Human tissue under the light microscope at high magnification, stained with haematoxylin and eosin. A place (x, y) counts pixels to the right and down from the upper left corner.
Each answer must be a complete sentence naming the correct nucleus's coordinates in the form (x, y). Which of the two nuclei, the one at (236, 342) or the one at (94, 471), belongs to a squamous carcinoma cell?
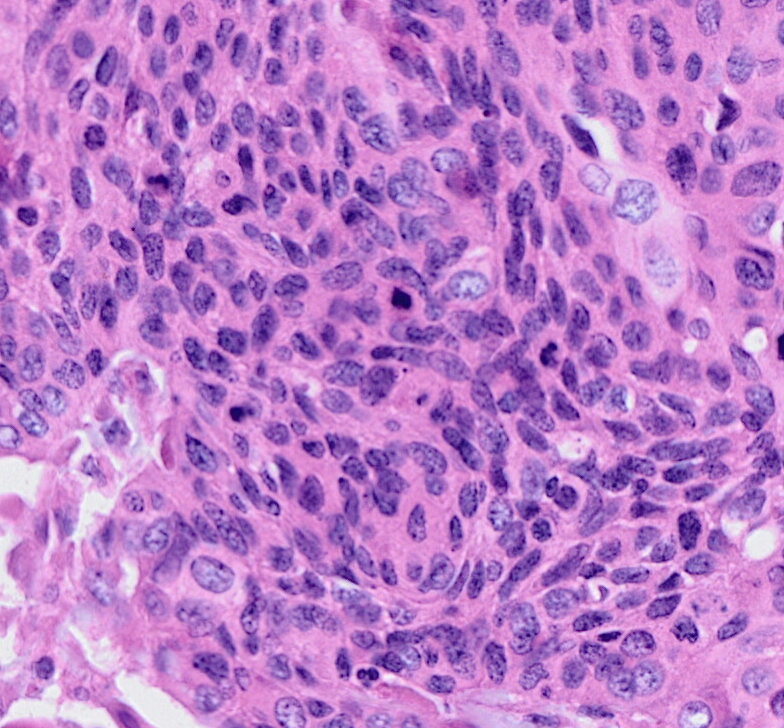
The one nucleus of the two that belongs to a squamous carcinoma cell is at (236, 342).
